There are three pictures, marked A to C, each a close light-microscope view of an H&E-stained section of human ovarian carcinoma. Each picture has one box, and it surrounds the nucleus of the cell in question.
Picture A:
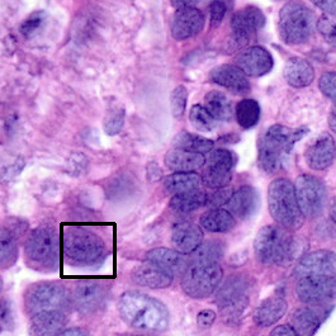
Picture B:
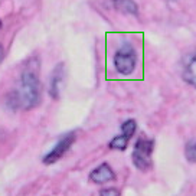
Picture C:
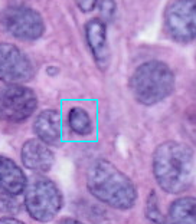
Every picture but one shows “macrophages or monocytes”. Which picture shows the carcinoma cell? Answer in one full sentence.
The cell in picture A is the carcinoma cell.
